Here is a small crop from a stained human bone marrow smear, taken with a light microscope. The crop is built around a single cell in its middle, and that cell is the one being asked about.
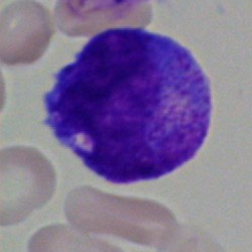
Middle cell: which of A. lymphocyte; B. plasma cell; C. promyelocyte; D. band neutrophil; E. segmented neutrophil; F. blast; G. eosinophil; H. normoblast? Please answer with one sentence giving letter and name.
The cell centred in the crop is a promyelocyte, and the correct option is thus C.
